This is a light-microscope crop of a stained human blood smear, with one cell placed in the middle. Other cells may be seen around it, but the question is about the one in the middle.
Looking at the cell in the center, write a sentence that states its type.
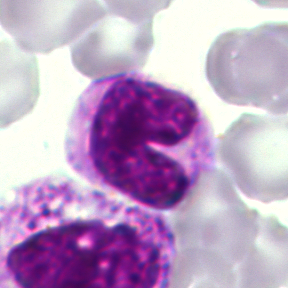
By classification, the middle cell of this crop is a band neutrophil.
